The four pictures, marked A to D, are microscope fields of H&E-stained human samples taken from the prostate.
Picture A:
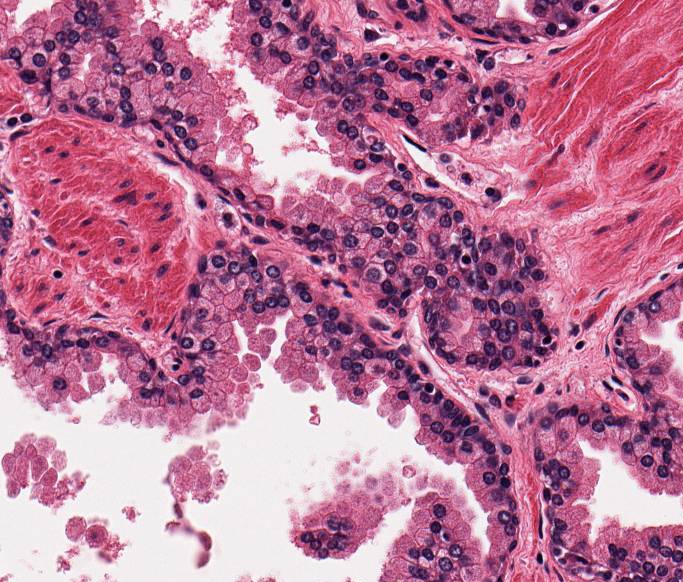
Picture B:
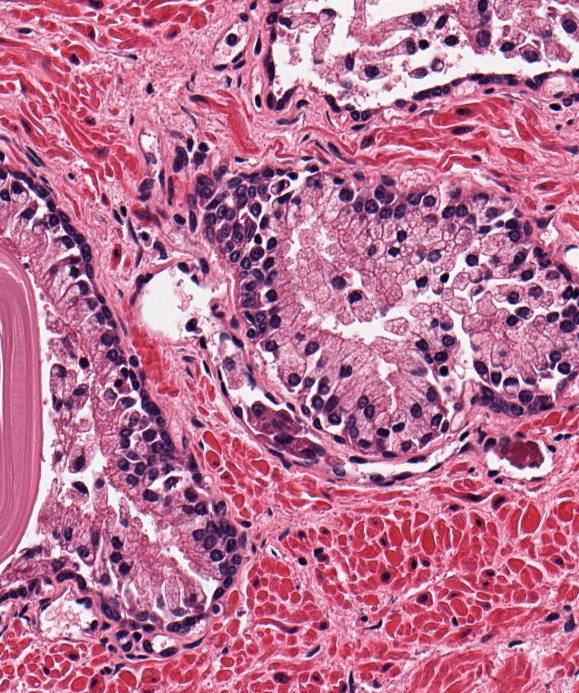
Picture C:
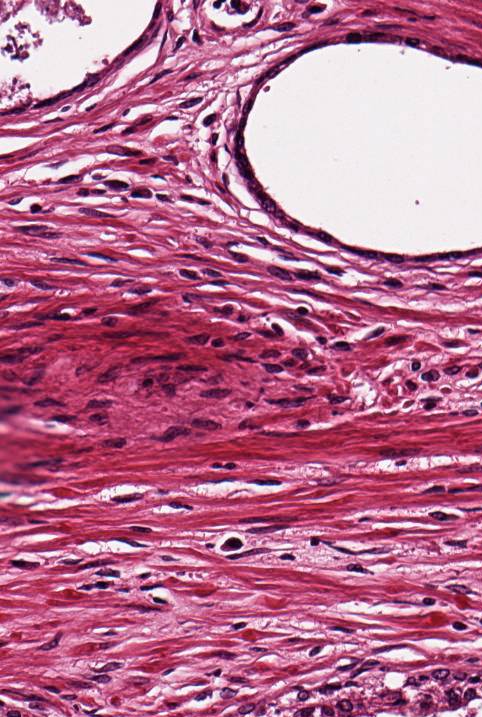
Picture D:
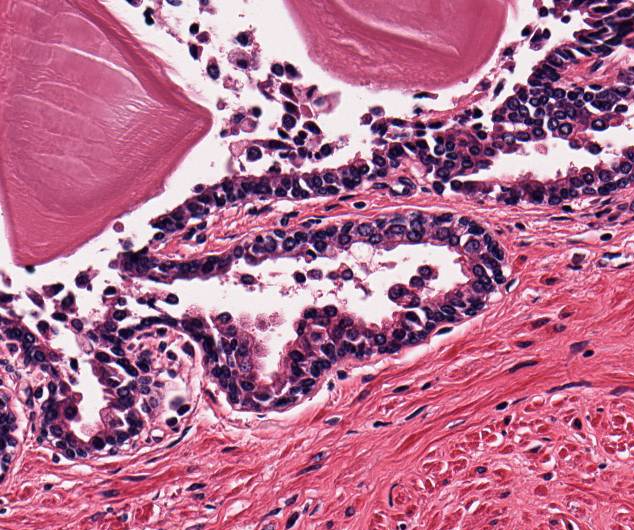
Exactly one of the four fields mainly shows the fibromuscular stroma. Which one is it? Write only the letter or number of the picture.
C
